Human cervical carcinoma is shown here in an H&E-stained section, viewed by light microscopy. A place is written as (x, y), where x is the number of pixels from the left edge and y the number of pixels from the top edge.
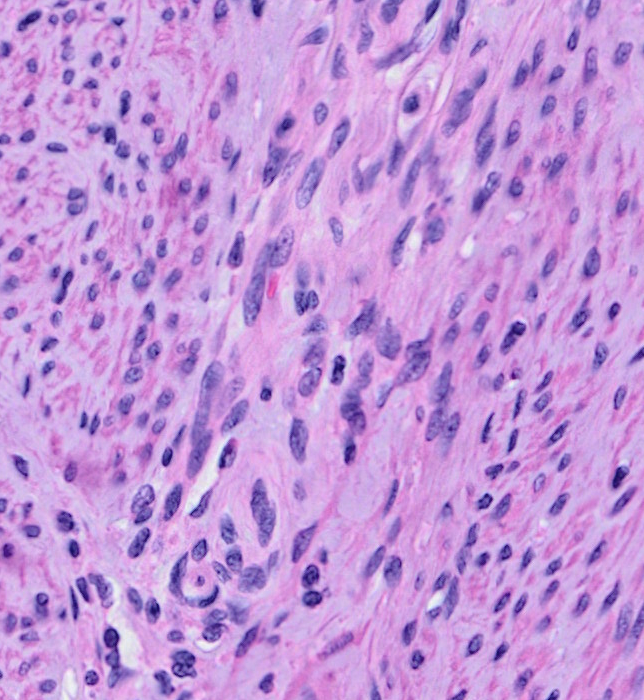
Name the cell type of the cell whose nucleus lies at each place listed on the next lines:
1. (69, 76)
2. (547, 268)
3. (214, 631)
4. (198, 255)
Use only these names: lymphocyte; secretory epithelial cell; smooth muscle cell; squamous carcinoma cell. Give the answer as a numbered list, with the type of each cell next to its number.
1. smooth muscle cell
2. smooth muscle cell
3. lymphocyte
4. smooth muscle cell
